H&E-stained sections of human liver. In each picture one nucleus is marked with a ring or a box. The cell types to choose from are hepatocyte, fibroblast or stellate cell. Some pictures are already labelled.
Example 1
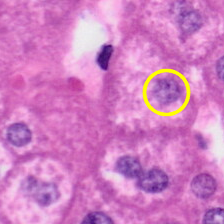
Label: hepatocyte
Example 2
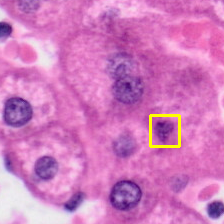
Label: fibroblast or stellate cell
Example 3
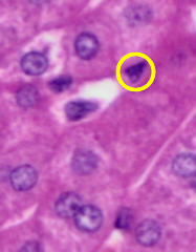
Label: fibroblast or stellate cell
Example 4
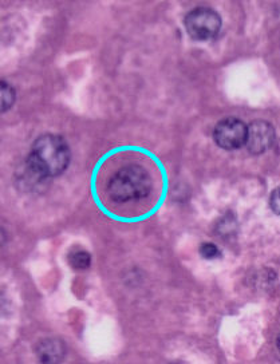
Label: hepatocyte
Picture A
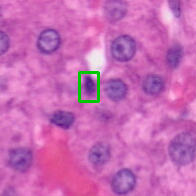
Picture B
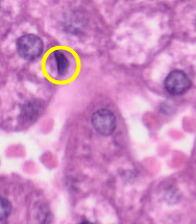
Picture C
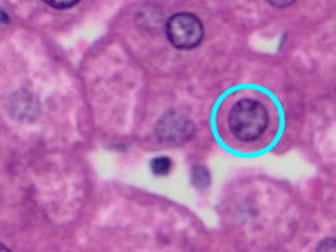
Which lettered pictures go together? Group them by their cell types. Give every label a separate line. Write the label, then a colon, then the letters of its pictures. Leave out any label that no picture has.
hepatocyte: C
fibroblast or stellate cell: A, B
